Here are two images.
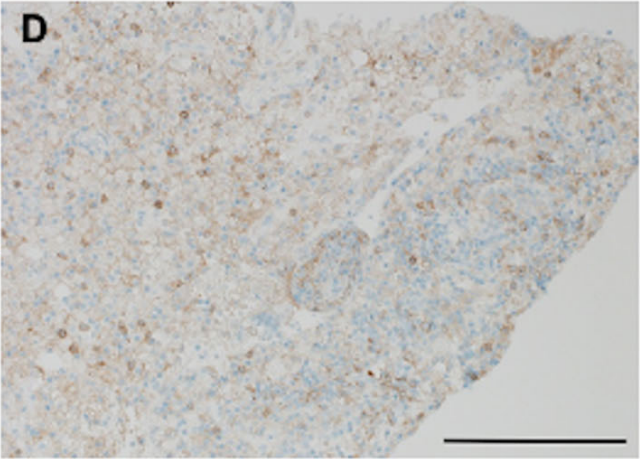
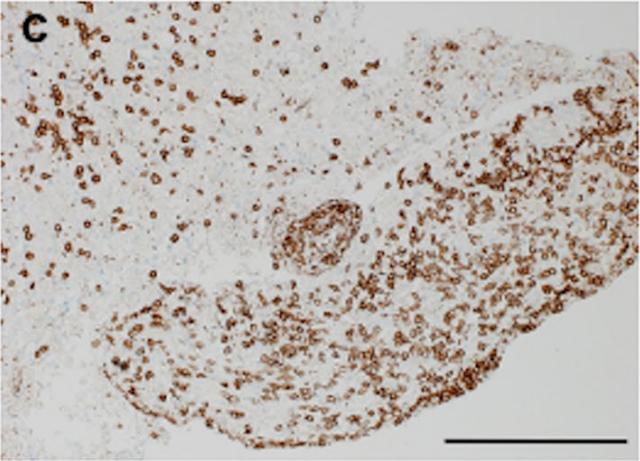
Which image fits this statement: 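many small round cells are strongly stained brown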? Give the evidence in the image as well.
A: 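First image: only faint diffuse brown with few distinctly stained round cells. Second image: hundreds of small round cells with dark brown rims. So: the second image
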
